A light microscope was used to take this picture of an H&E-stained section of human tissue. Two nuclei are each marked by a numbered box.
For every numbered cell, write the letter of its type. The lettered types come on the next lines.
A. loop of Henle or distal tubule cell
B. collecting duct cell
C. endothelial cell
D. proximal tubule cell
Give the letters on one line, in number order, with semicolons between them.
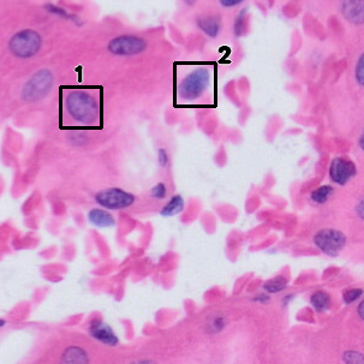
D; C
